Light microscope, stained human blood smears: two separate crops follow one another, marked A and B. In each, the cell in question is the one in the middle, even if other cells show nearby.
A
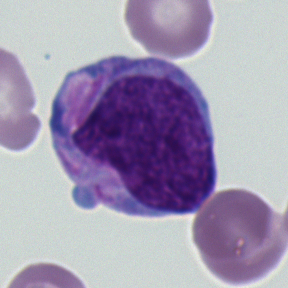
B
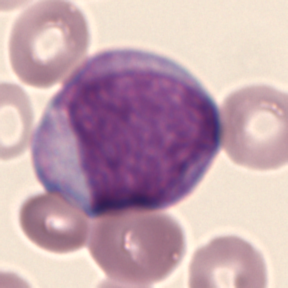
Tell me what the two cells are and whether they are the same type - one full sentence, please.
Yes, both crops depict atypical promyelocytes at the centre.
